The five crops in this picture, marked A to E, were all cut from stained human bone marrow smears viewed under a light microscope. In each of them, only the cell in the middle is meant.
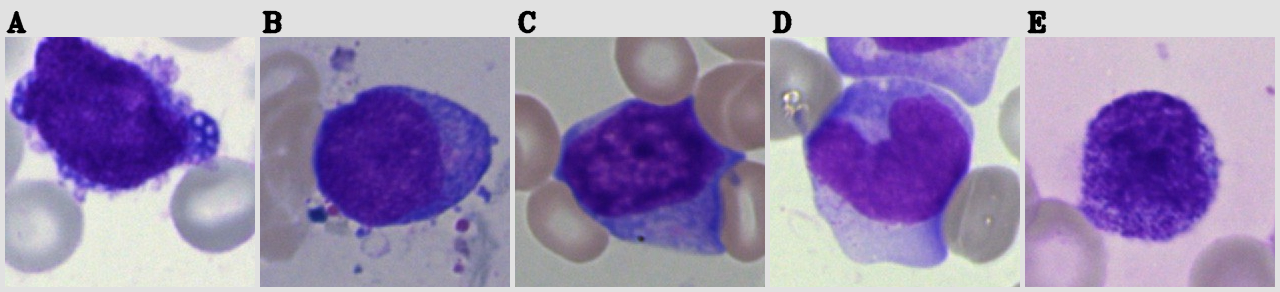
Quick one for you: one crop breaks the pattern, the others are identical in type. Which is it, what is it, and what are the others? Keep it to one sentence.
Crop E stands apart as a myelocyte, whereas the remaining crops all show blasts.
